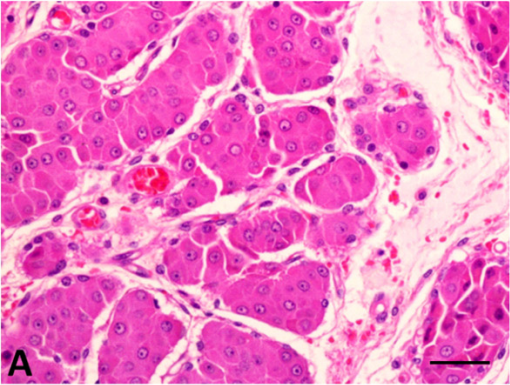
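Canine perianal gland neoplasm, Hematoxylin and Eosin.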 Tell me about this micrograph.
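Rounded nests of large polygonal cells fill the field, each cell with plentiful, finely granular pink cytoplasm and a central round nucleus bearing a distinct nucleolus, much like liver cells. Nuclei are fairly uniform in size. The nests are separated by thin strands of loose, pale fibrous connective tissue carrying small vessels, some filled with red blood cells. A thin rim of smaller, darker cells hugs the edges of some nests.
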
